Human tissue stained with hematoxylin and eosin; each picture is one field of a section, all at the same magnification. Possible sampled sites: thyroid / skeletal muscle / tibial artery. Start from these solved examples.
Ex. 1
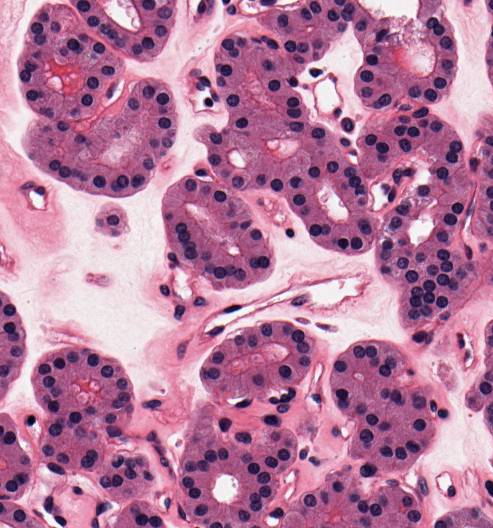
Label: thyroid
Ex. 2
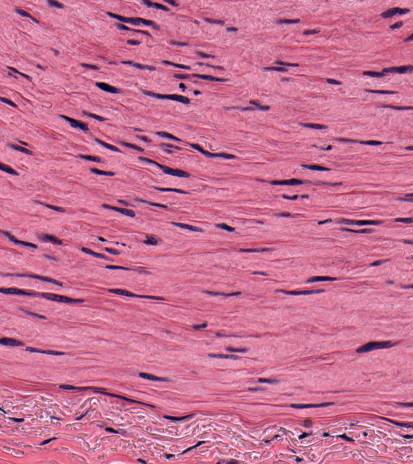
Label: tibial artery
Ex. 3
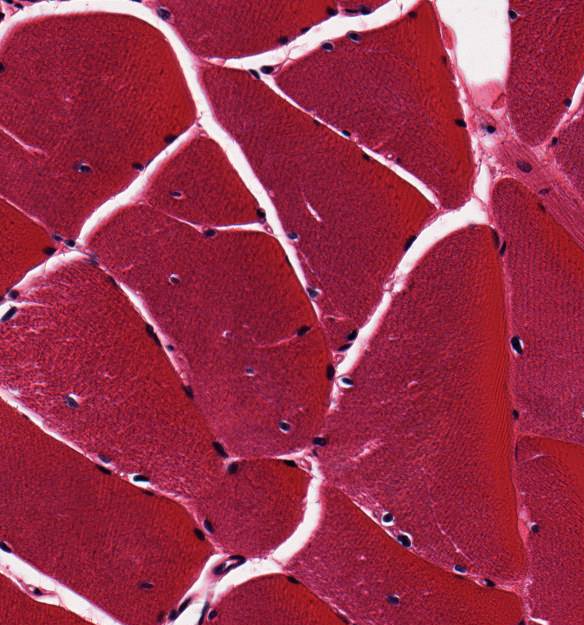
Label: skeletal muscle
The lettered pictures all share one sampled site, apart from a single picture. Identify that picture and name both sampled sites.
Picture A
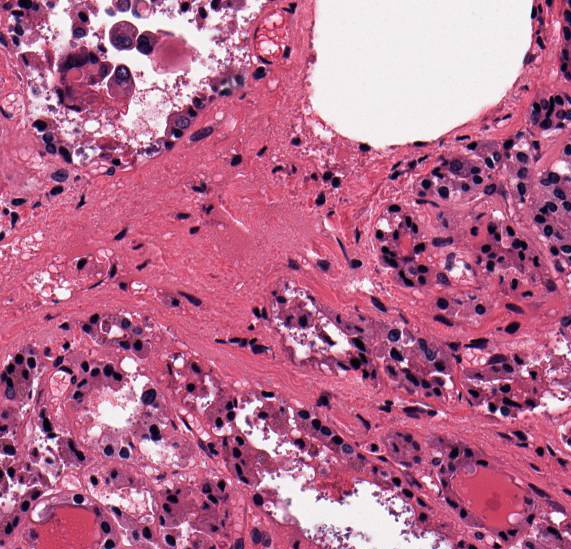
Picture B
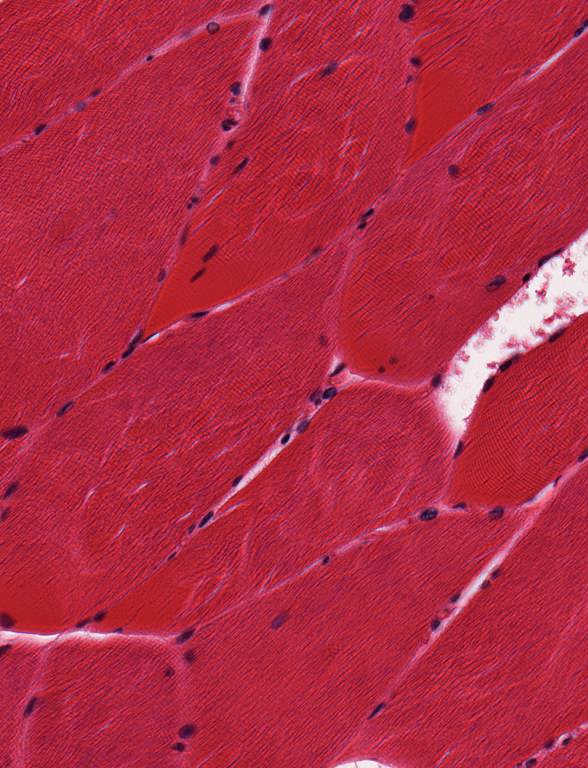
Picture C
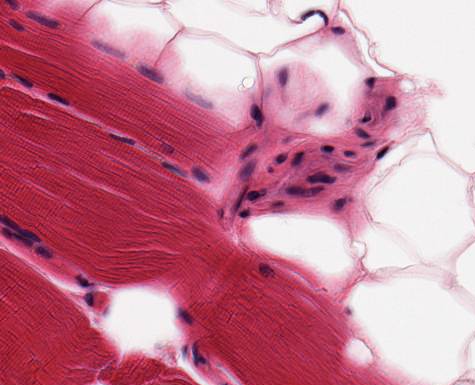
A: thyroid; all the others: skeletal muscle.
